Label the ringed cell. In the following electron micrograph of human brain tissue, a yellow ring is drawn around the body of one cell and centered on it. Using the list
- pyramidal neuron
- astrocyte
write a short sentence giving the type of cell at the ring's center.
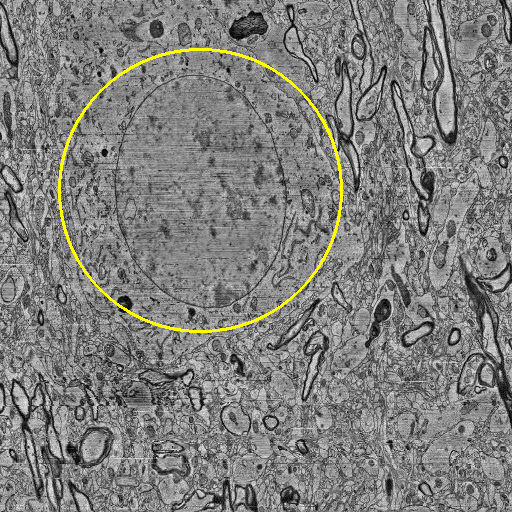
The cell body at the ring's center is that of a pyramidal neuron.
